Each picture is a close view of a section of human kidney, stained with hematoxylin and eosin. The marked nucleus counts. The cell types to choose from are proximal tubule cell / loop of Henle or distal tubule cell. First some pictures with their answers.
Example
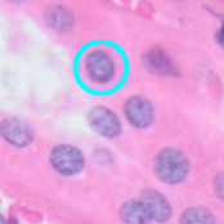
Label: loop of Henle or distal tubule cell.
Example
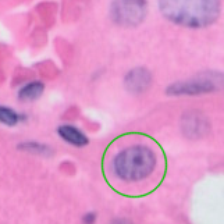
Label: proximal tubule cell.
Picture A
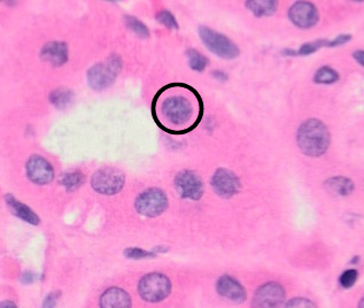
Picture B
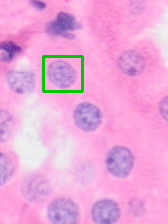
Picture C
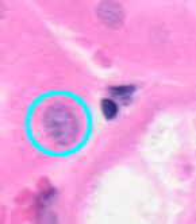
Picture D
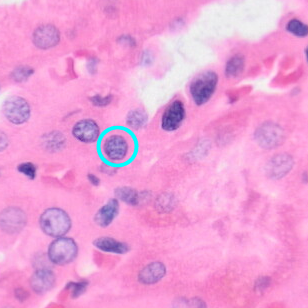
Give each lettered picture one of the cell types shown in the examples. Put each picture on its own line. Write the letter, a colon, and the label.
A: loop of Henle or distal tubule cell.
B: loop of Henle or distal tubule cell.
C: proximal tubule cell.
D: loop of Henle or distal tubule cell.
